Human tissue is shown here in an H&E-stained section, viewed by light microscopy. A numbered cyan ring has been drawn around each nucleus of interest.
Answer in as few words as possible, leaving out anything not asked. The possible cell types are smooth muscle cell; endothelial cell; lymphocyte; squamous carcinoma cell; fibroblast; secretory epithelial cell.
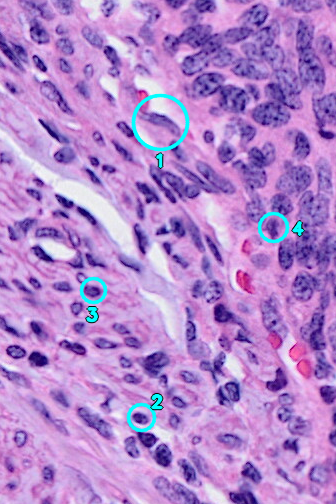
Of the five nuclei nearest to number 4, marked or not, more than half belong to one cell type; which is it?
squamous carcinoma cell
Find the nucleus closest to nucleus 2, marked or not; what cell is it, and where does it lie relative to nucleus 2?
a lymphocyte, below nucleus 2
